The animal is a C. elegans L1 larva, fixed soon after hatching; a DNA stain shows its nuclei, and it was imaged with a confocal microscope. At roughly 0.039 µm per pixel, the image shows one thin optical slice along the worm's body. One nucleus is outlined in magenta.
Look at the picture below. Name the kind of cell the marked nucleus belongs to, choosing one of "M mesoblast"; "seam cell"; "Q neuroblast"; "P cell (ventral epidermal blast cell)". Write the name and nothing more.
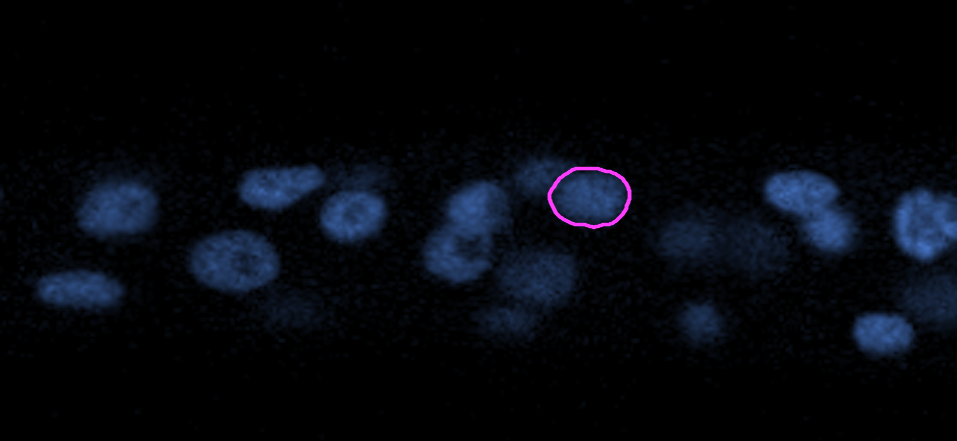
P cell (ventral epidermal blast cell)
